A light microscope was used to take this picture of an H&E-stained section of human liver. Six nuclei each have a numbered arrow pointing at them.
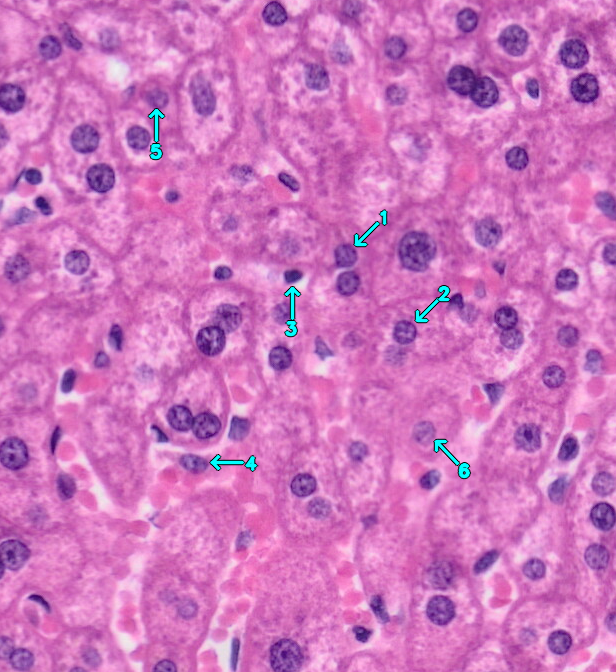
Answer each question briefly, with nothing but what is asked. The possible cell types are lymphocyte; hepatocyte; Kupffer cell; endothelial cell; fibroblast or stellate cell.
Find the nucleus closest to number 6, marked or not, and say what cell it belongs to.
lymphocyte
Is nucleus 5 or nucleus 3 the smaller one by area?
3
